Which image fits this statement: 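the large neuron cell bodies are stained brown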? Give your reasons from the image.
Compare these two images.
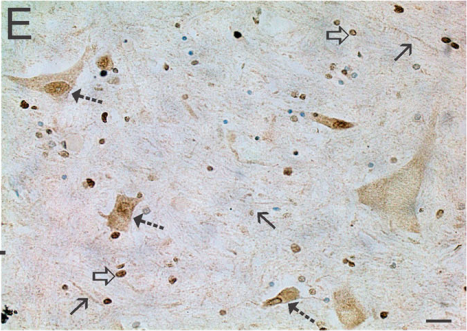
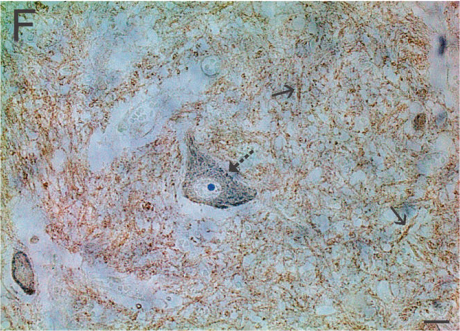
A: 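The first image. Second image: the large neuron body is blue-grey, with brown mostly in the fibrous background. First image: several large neuron bodies are brown, with dark brown nuclei.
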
